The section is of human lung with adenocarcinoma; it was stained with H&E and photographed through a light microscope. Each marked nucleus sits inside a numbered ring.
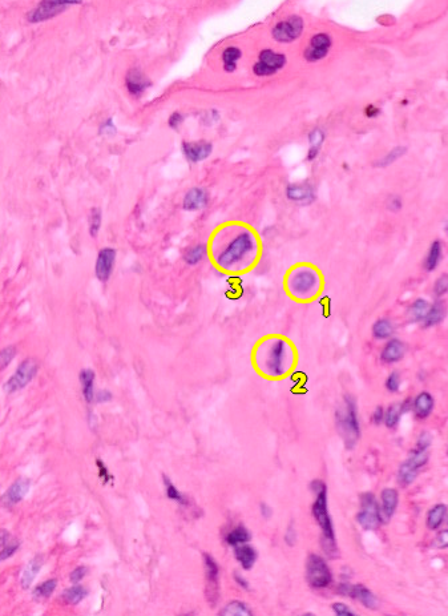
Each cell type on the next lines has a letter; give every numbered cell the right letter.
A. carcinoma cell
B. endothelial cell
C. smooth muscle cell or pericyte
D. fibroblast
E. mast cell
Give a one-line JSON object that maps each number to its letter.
{"1": "E", "2": "D", "3": "C"}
